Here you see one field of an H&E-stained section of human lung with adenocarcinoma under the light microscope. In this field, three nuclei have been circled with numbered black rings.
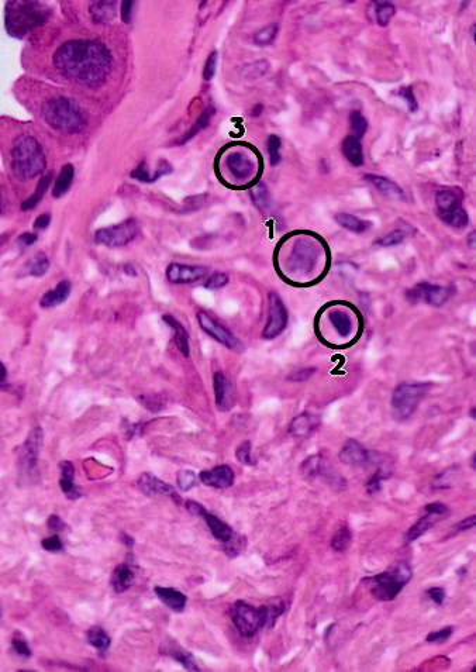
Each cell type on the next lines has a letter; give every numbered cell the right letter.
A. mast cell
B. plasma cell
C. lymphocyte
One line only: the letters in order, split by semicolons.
A; C; B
